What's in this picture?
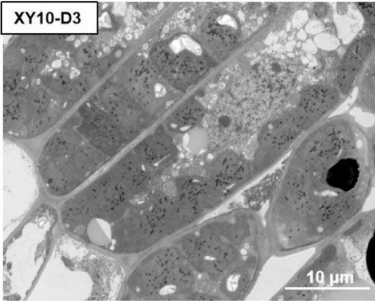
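Mesophyll cells of a leaf seen by transmission electron microscopy, elongated and packed closely side by side with thin grey walls. The cells are filled with dense grey cytoplasm containing many oval chloroplasts, which line the cells and show fine dark speckles. Scattered small pale vacuoles and clusters of small vesicles lie among them, and a dark round body sits in one cell at the right edge. The protoplasts fill their cells and lie against the walls, with only narrow pale intercellular spaces between neighbouring cells.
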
